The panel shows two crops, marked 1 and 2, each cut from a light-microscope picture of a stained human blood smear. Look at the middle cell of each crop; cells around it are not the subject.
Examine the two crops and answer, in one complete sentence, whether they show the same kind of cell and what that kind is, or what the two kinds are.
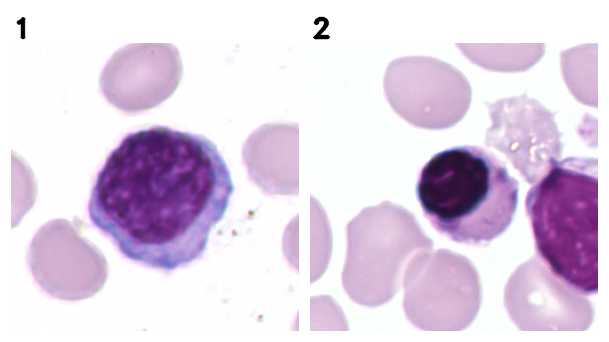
No, in crop 1 there is a plasma cell, and in crop 2 there is a normoblast.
